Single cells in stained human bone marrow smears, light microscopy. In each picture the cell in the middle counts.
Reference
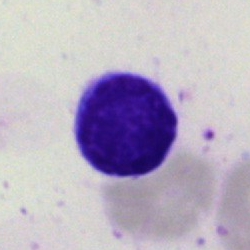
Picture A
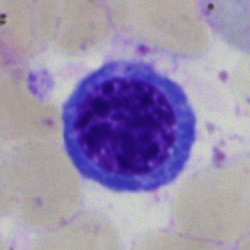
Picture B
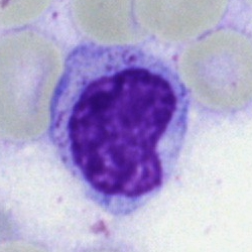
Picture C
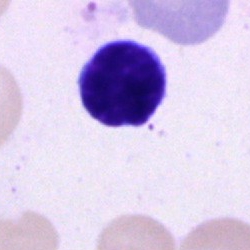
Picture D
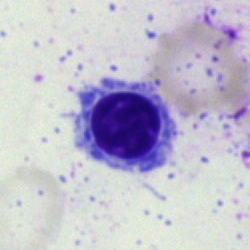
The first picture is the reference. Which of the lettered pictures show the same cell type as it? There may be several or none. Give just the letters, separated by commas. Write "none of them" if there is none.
B, C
